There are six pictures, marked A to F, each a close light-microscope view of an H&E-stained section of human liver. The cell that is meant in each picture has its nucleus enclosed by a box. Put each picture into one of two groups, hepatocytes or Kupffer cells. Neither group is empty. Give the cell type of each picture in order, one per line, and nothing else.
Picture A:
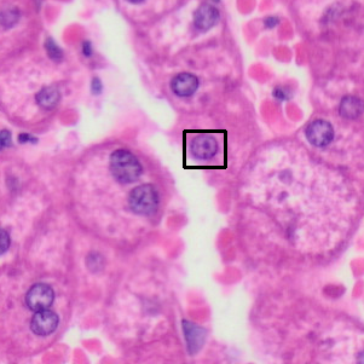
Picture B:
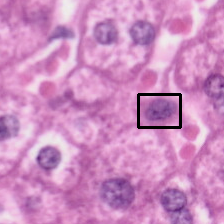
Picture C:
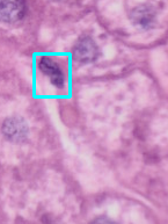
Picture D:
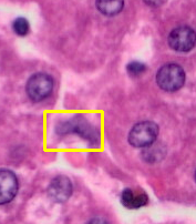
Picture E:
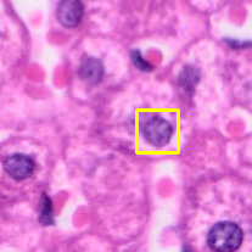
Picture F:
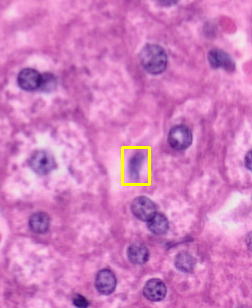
hepatocyte
Kupffer cell
Kupffer cell
Kupffer cell
hepatocyte
Kupffer cell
